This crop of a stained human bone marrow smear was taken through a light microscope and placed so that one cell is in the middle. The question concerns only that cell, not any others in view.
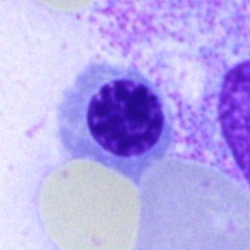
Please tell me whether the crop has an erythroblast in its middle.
yes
